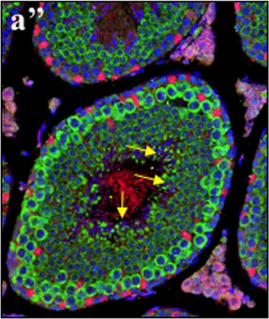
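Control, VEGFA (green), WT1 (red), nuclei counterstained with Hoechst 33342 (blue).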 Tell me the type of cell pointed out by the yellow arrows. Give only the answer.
spermatids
